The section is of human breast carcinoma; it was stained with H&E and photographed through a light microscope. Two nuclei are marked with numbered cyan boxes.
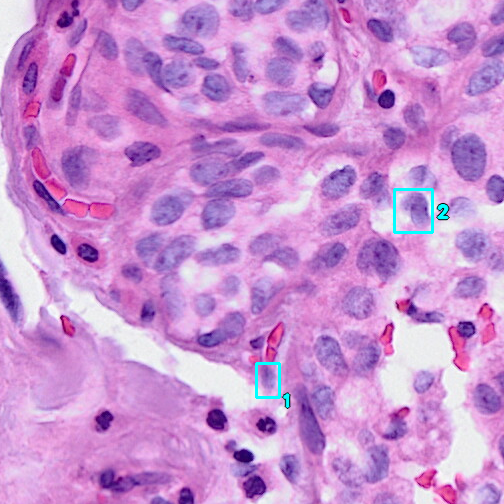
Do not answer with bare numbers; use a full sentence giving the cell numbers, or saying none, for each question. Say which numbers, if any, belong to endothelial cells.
The one cell that is an endothelial cell is cell 1, and no other.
